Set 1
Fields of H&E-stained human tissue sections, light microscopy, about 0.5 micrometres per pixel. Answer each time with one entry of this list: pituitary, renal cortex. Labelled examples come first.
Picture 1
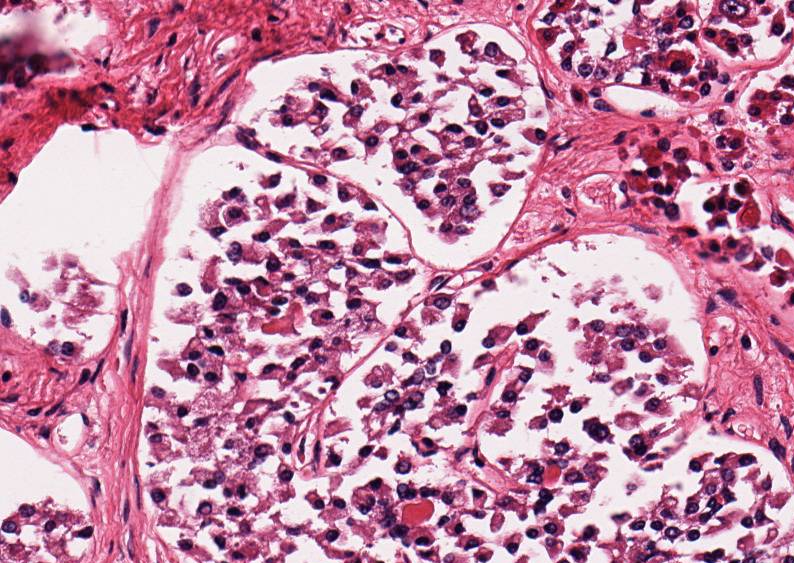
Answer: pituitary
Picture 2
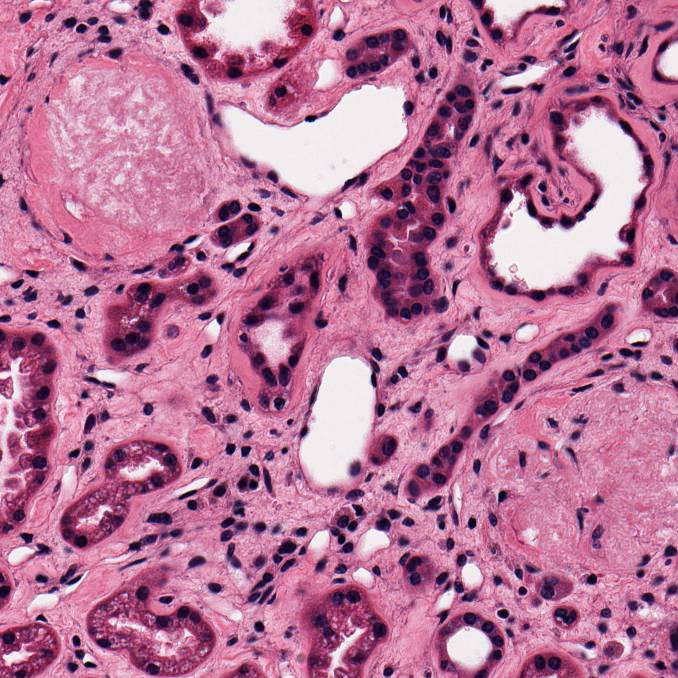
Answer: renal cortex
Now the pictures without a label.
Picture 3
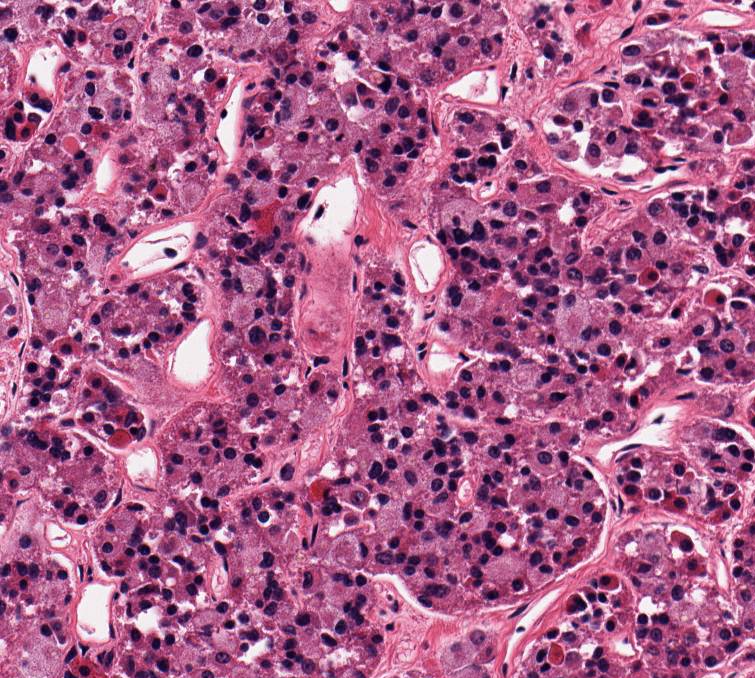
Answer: pituitary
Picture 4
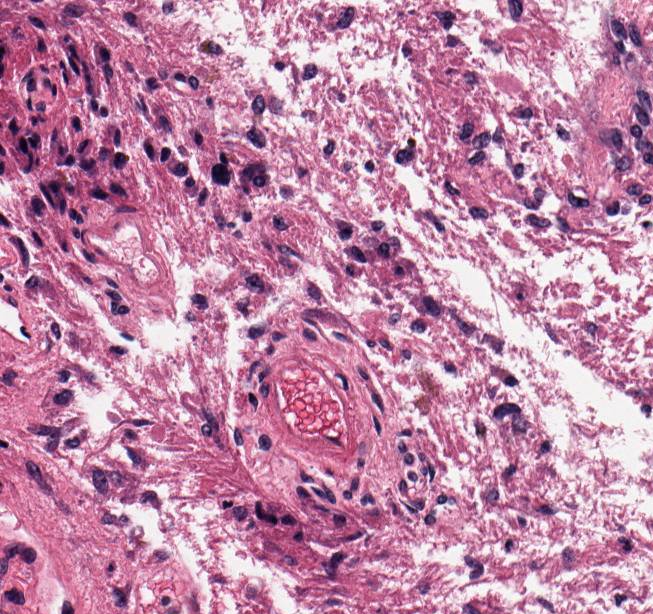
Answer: pituitary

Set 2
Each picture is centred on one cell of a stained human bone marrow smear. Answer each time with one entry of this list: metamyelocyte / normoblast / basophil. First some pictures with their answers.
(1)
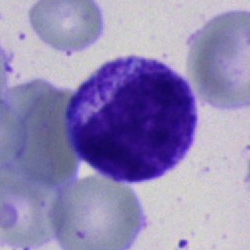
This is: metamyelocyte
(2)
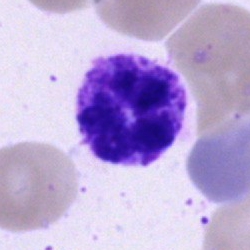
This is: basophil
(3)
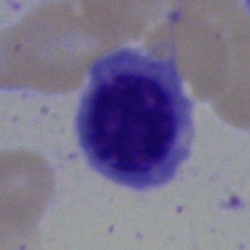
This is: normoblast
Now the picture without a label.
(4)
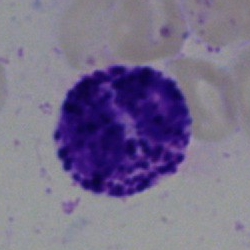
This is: basophil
